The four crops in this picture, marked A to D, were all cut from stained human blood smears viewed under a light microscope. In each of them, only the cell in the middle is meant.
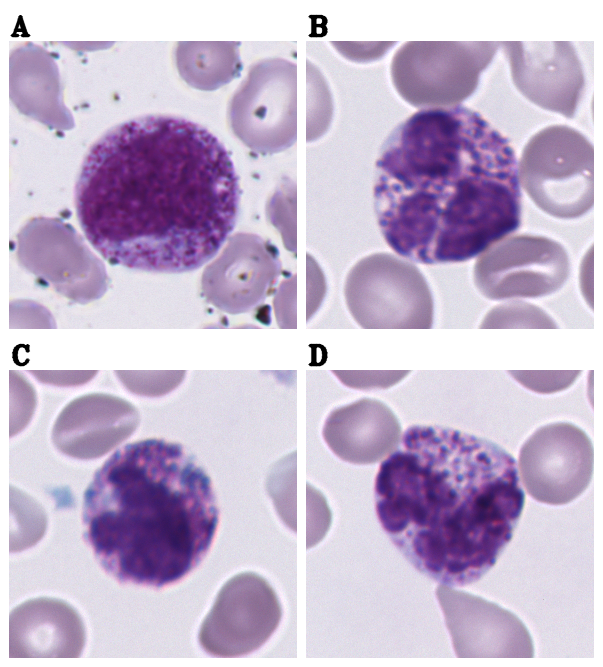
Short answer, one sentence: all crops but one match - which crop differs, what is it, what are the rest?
Crop A, showing a promyelocyte, is the exception; the others all show basophils.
